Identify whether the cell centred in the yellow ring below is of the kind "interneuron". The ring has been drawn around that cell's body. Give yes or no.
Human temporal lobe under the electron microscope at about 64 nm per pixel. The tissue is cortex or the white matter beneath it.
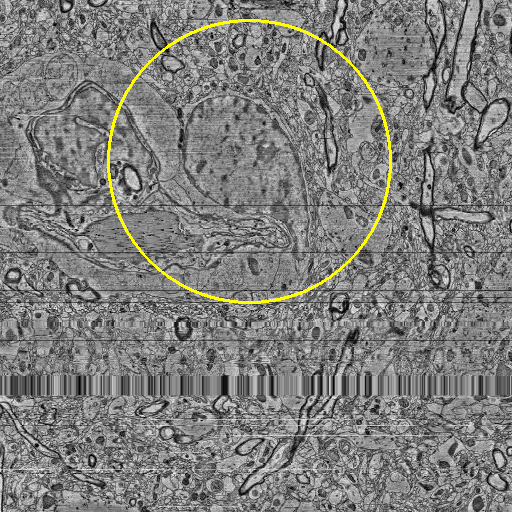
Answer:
no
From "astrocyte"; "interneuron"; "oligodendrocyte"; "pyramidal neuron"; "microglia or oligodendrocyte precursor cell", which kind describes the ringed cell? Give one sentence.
The cell this ring marks is a microglial cell or oligodendrocyte precursor cell.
